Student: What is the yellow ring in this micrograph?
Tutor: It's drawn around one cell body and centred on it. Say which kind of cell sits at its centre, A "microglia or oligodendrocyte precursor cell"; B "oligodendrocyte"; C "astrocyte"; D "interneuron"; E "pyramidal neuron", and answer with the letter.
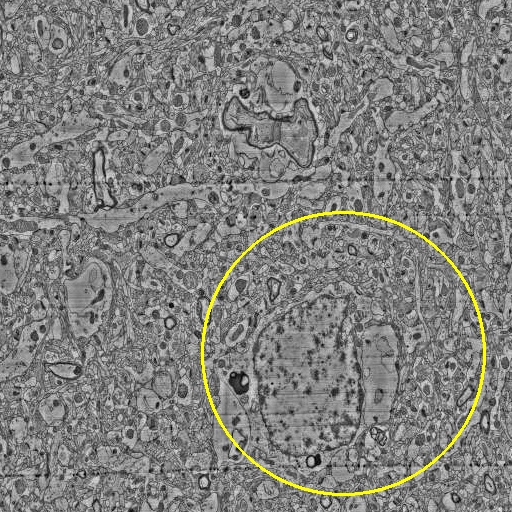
D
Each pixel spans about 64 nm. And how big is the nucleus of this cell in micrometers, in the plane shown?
Approximately 10 by 8 micrometers in this plane.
